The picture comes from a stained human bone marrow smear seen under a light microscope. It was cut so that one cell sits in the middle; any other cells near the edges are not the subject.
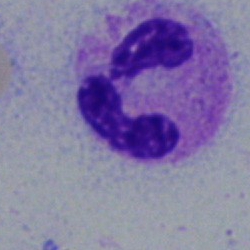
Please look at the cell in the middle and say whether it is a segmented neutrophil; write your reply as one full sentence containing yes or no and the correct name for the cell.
Yes, a segmented neutrophil occupies the middle of the crop.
